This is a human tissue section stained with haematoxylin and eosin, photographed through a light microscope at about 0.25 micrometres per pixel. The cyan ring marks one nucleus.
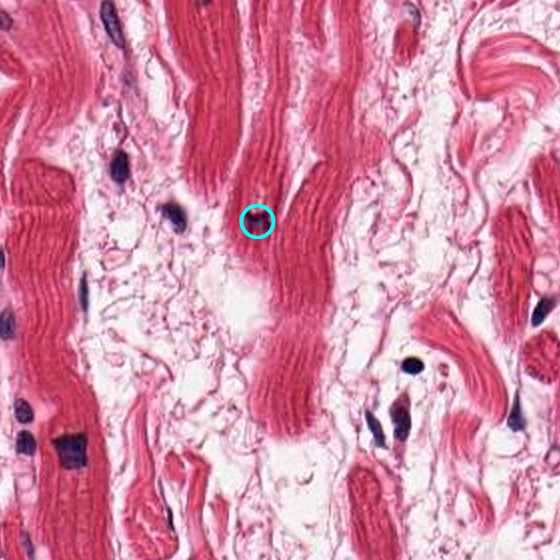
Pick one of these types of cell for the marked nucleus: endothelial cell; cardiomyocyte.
cardiomyocyte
